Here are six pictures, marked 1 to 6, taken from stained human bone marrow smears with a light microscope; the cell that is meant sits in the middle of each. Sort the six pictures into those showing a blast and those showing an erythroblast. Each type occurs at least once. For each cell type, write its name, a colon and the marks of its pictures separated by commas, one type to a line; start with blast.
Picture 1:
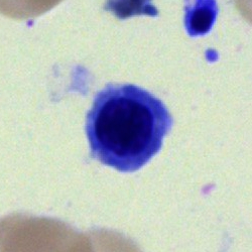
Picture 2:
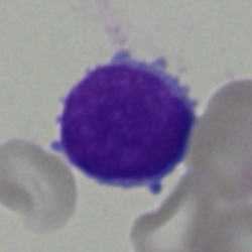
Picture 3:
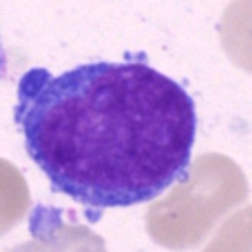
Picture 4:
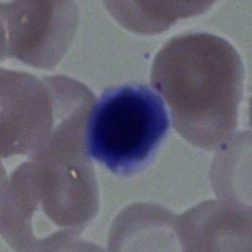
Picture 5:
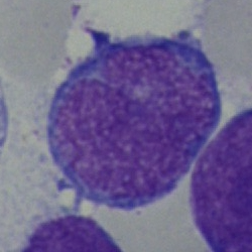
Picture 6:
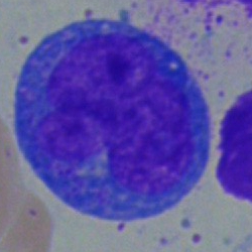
blast: 2, 3, 5, 6
erythroblast: 1, 4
